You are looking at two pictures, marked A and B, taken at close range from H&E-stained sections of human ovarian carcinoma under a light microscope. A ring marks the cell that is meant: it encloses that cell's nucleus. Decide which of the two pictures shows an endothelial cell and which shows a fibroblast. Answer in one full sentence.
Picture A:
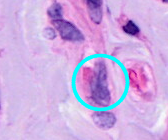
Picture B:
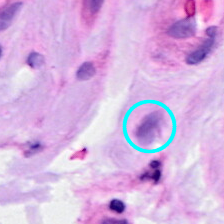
Picture A is of an endothelial cell, and picture B is of a fibroblast.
